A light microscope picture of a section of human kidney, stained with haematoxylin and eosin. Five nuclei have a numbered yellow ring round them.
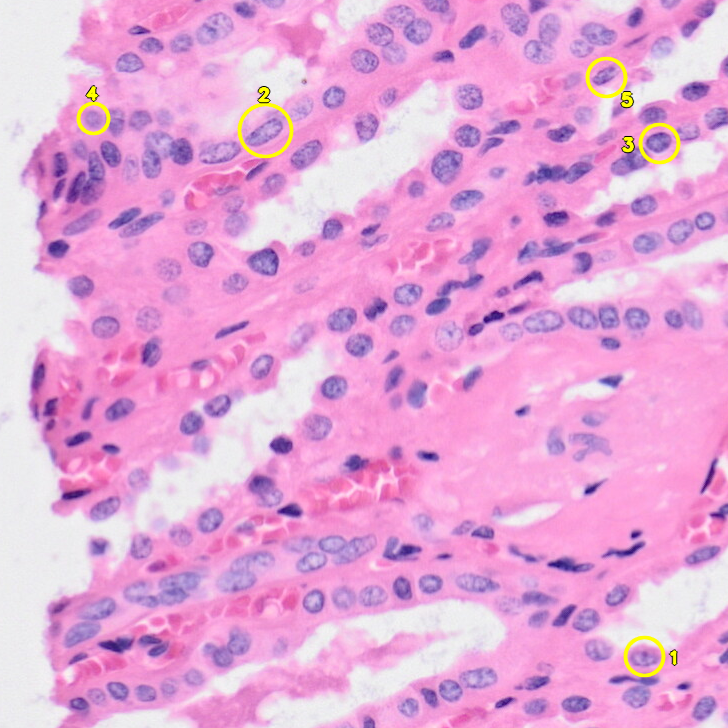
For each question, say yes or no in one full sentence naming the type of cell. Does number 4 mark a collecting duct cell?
Yes, cell number 4 is identified here as a collecting duct cell.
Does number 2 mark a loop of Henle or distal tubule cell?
No. Cell number 2 is a collecting duct cell, not a loop of Henle or distal tubule cell.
